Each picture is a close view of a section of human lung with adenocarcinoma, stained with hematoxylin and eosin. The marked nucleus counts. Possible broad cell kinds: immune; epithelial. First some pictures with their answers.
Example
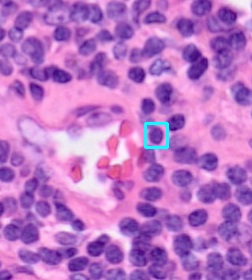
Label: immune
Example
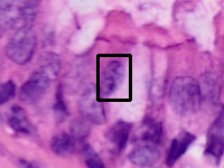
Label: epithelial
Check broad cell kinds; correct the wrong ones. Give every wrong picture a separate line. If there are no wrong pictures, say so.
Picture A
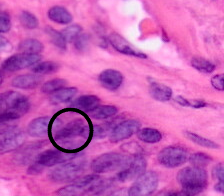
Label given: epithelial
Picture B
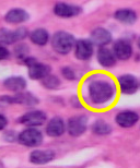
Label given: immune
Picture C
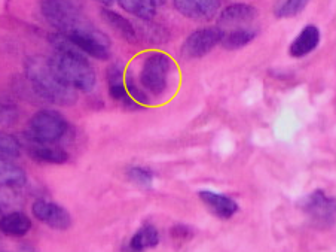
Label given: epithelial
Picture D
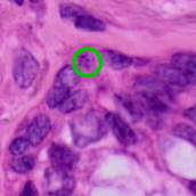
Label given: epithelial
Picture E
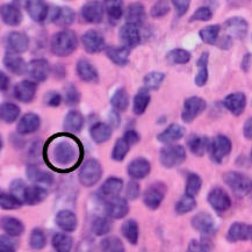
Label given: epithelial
E: not epithelial but immune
